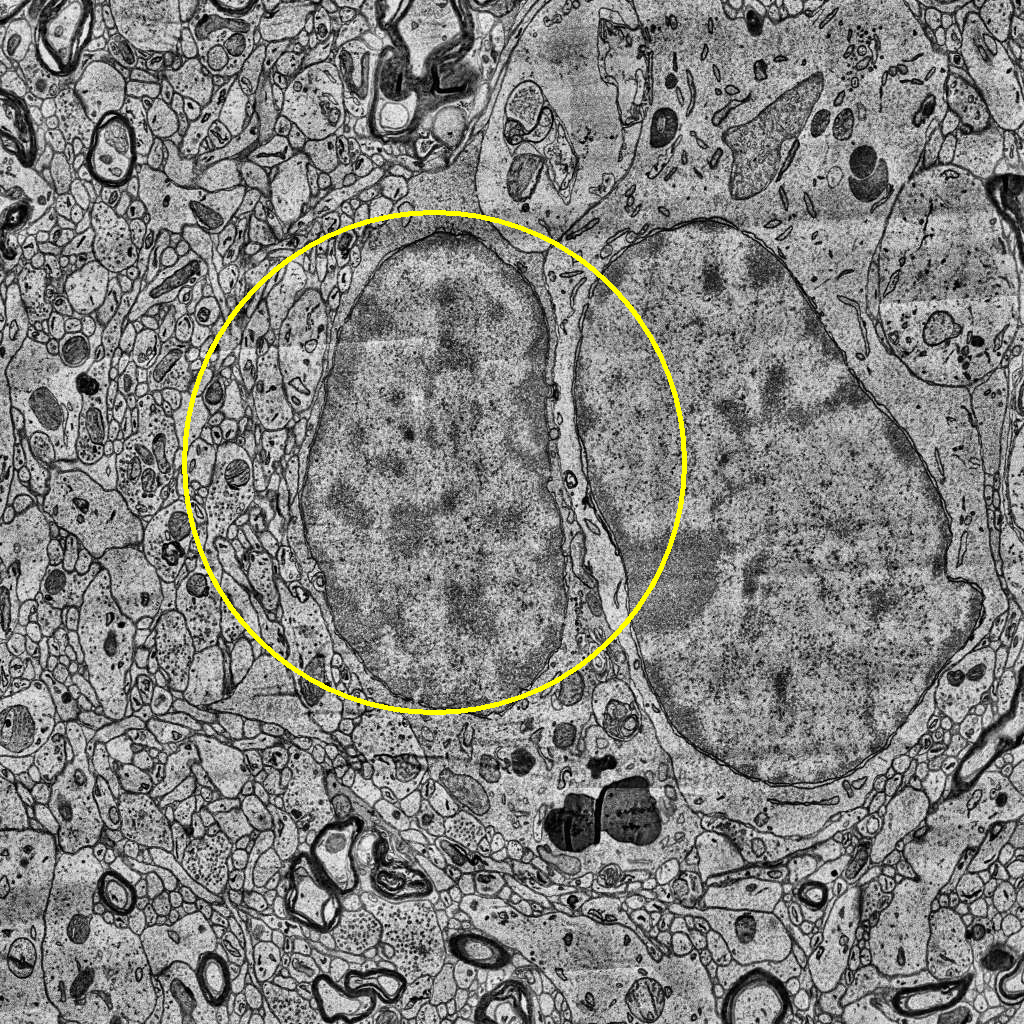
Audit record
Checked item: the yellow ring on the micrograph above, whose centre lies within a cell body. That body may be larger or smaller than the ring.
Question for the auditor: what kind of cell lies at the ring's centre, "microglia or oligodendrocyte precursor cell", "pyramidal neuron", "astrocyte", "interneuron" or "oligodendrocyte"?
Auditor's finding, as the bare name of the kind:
oligodendrocyte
